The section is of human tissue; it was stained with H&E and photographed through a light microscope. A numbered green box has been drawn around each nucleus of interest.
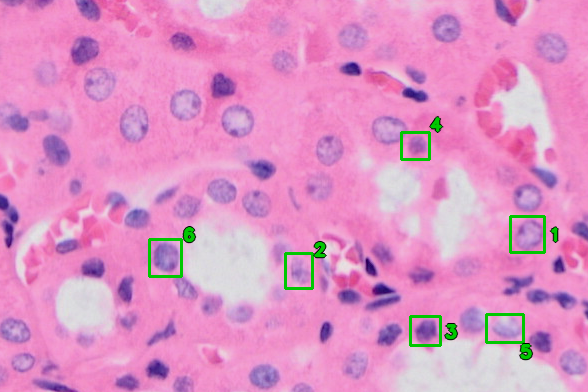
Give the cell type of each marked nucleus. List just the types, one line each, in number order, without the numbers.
proximal tubule cell
loop of Henle or distal tubule cell
loop of Henle or distal tubule cell
proximal tubule cell
loop of Henle or distal tubule cell
loop of Henle or distal tubule cell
